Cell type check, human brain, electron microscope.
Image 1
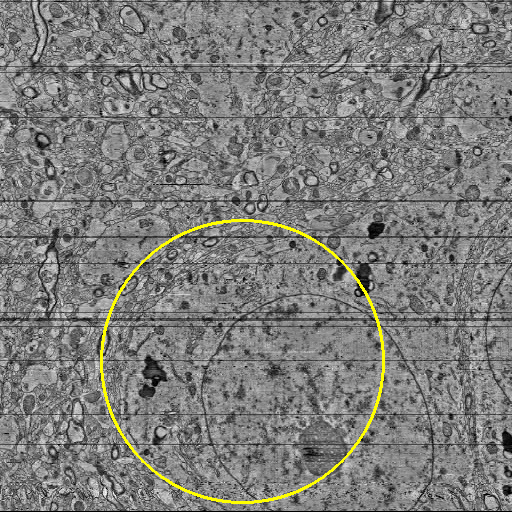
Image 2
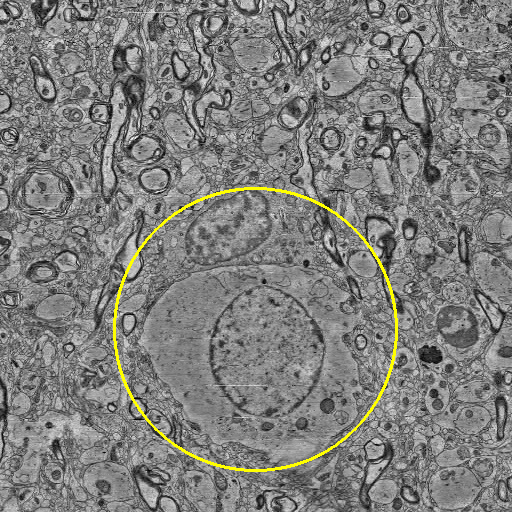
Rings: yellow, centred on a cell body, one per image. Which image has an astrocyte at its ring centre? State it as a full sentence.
The ring in Image 2 is centred on it.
